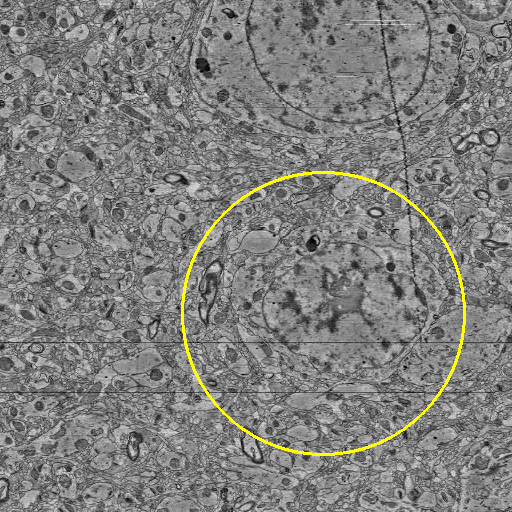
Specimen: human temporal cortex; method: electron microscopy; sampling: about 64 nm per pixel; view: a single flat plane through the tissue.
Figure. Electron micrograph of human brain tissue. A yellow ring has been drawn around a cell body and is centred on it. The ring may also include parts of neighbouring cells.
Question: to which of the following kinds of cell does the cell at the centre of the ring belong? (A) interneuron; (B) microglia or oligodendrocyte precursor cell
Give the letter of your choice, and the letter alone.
A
